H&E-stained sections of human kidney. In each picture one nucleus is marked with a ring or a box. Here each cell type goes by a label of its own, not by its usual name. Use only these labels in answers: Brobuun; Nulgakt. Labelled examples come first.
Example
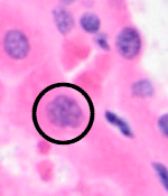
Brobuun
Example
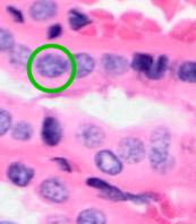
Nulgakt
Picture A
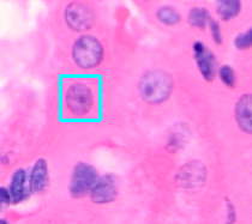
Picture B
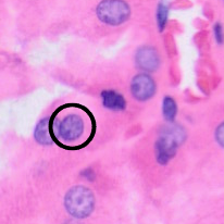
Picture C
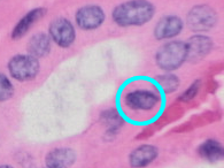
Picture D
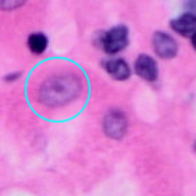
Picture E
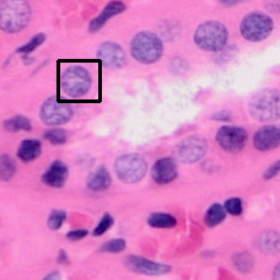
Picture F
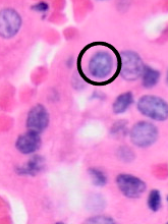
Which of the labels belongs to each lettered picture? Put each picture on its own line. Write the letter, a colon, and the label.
A: Brobuun
B: Brobuun
C: Nulgakt
D: Brobuun
E: Nulgakt
F: Nulgakt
